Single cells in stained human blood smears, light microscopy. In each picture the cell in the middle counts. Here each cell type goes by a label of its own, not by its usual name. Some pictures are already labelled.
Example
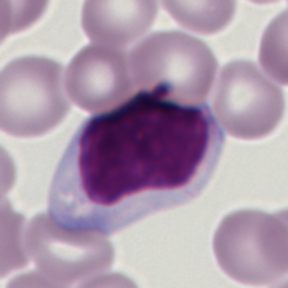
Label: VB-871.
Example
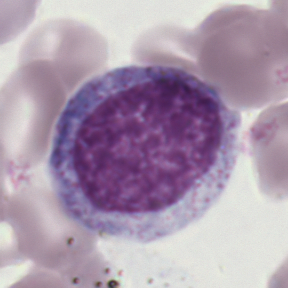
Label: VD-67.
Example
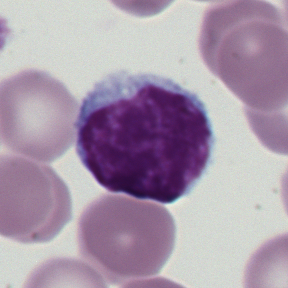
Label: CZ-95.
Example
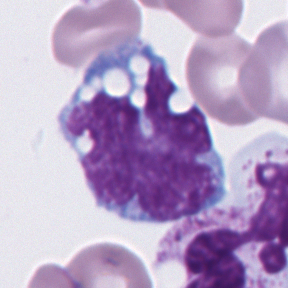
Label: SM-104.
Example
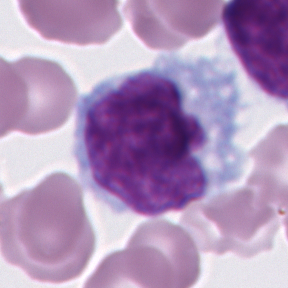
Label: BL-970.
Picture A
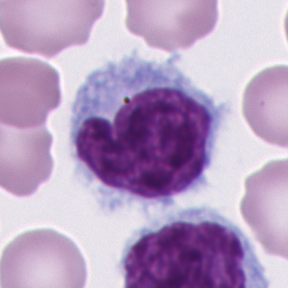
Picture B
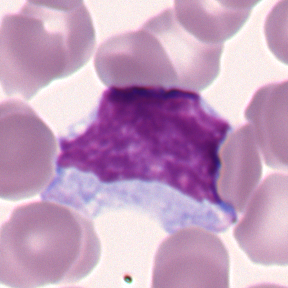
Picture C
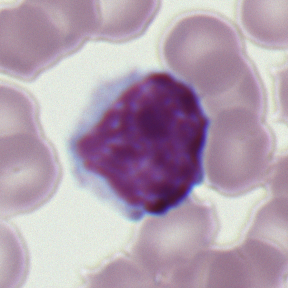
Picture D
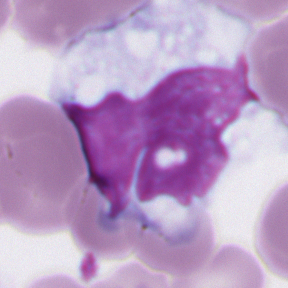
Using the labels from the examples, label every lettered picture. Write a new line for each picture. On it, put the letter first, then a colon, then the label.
A: BL-970.
B: CZ-95.
C: CZ-95.
D: SM-104.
